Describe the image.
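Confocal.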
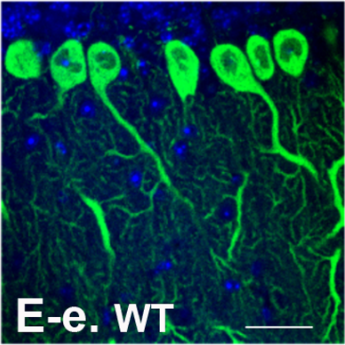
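This shows a row of cerebellar Purkinje cells, whose large flask-shaped cell bodies stand closely side by side, filled with green. Below the cell bodies, a dense meshwork of fine green dendritic branches fills the molecular layer. Small blue nuclei of other cells are scattered among the dendrites and along the upper edge.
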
